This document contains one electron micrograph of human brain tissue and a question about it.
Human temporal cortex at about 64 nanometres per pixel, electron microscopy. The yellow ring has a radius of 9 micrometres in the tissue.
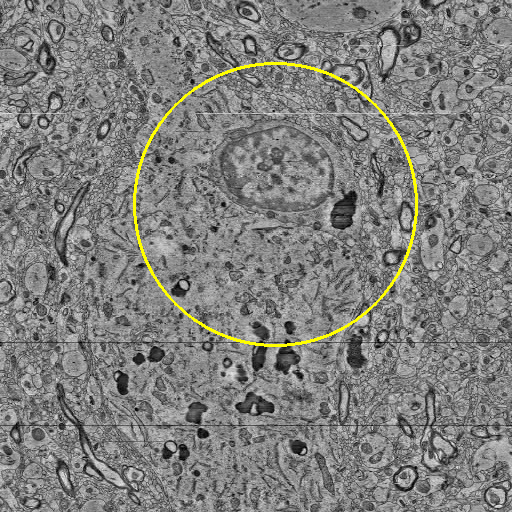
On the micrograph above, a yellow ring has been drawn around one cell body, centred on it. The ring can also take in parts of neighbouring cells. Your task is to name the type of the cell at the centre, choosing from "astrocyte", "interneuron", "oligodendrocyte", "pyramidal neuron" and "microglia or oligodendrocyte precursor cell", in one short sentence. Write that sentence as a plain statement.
Here the ring is centred on an oligodendrocyte.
